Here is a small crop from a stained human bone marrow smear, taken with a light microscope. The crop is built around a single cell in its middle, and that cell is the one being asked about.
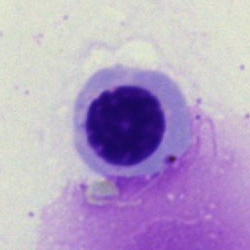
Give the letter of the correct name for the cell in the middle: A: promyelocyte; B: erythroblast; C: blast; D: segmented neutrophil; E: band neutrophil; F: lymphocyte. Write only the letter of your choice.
B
